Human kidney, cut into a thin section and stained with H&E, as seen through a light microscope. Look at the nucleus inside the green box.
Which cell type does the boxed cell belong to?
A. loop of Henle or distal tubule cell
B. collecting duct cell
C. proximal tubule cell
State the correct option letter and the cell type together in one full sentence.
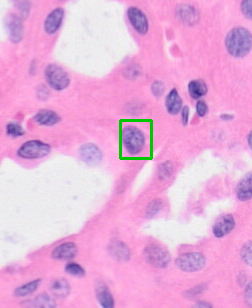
Option A is accurate, for the boxed cell is a loop of Henle or distal tubule cell.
